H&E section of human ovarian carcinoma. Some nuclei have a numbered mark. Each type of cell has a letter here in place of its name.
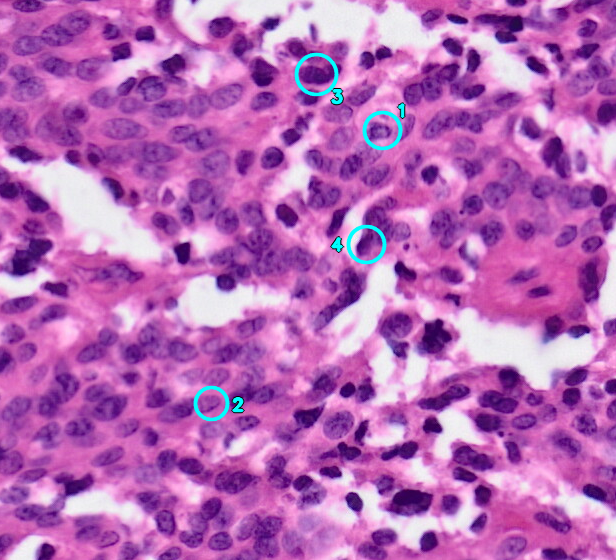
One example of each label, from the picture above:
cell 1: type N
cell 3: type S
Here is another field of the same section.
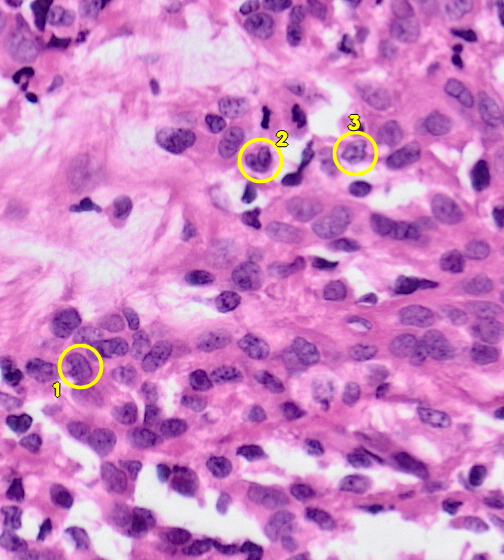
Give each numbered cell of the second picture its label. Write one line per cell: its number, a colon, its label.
1: type S
2: type N
3: type N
